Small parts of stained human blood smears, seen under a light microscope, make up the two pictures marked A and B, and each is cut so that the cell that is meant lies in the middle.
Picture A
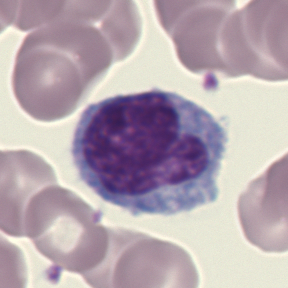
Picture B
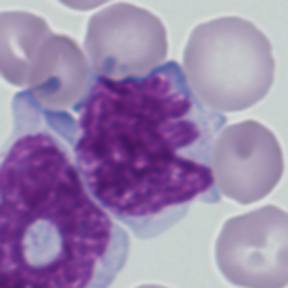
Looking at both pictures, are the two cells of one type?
yes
